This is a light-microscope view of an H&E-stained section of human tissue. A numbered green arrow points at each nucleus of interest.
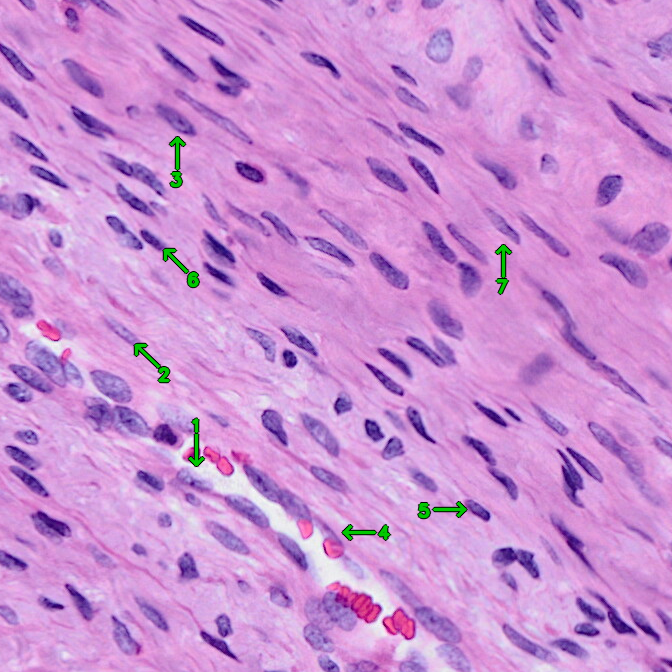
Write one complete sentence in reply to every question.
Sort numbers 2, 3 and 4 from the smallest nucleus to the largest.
The order from the smallest nucleus to the largest is 4, 2, 3.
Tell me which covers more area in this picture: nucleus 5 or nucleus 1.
Nucleus 1 is the larger one, covering about 1.5 times the area of nucleus 5.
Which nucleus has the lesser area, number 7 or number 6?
Nucleus 6 is the smaller one; nucleus 7 covers about 1.5 times its area.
